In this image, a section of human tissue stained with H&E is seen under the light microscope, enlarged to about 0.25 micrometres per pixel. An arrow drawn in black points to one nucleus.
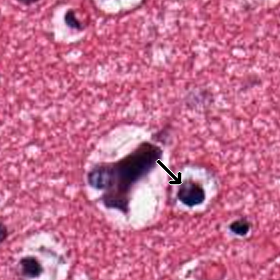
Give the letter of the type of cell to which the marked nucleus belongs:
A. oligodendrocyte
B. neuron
A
